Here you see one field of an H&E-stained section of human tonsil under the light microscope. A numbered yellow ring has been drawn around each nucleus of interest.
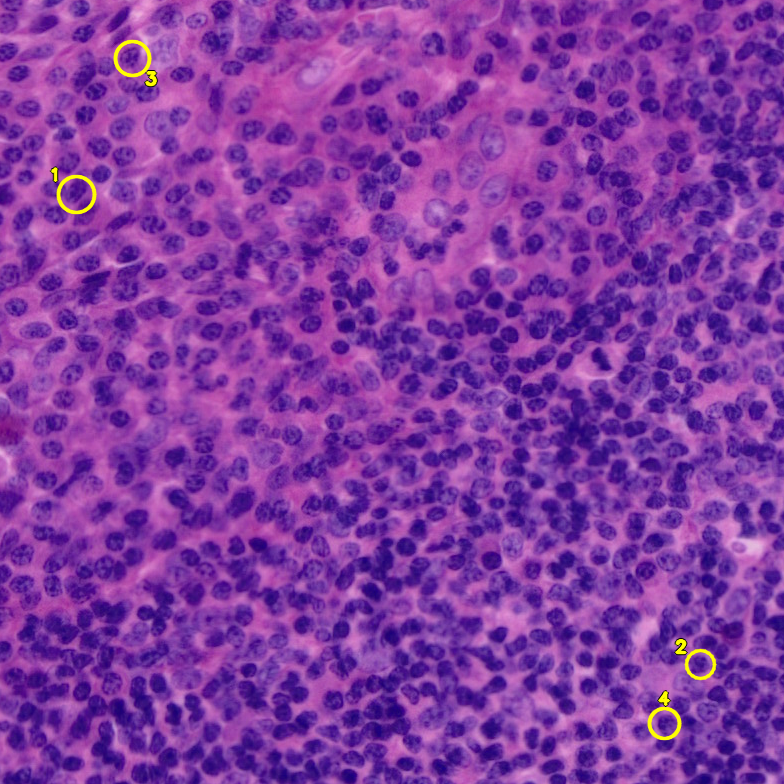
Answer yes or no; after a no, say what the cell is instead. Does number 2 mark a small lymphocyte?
Yes.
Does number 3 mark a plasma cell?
Yes.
